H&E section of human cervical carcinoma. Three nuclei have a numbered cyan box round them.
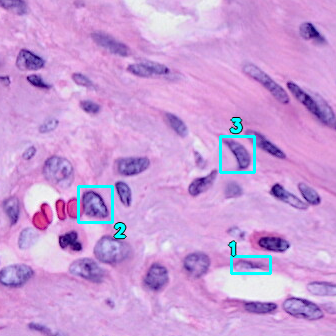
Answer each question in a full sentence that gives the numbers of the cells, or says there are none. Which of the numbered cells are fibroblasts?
Of all the numbered cells, only cell 3 is a fibroblast.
